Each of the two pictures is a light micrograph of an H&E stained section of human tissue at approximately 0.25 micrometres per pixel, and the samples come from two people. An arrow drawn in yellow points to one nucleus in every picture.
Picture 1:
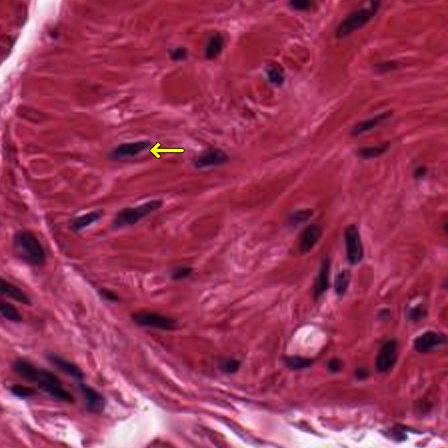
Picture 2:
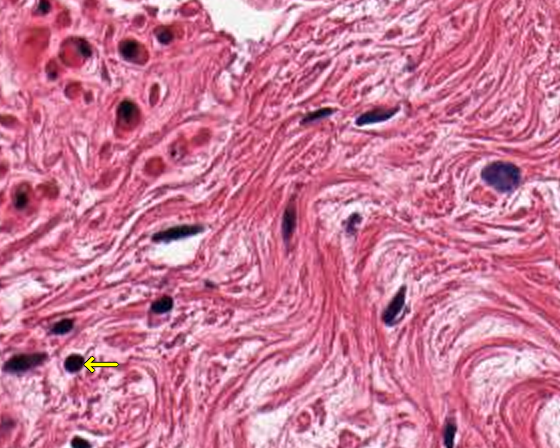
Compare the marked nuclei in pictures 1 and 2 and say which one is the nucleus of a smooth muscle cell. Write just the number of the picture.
1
